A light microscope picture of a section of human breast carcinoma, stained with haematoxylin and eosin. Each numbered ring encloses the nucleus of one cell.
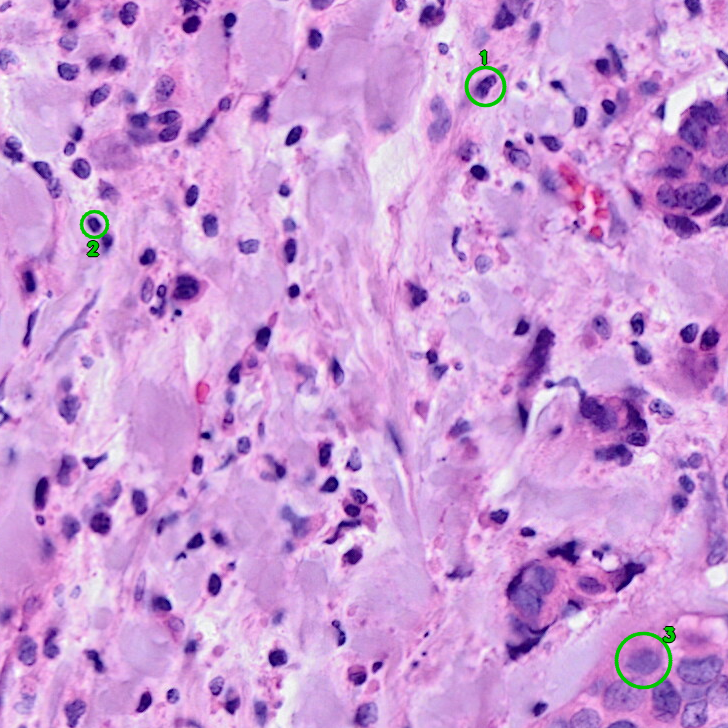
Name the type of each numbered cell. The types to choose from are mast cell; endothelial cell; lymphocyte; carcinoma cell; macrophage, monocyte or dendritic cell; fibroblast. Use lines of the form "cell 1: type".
cell 1: lymphocyte
cell 2: lymphocyte
cell 3: carcinoma cell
